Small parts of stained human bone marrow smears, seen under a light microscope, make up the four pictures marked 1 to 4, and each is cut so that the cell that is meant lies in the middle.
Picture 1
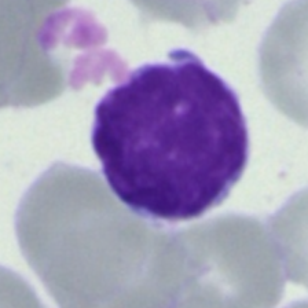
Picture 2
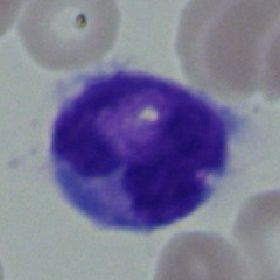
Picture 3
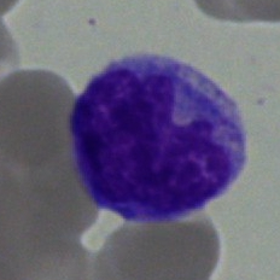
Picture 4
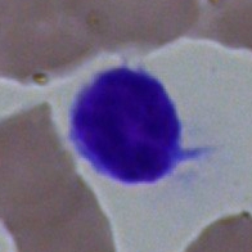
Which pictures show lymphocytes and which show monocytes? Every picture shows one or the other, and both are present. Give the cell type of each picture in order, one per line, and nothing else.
lymphocyte
monocyte
monocyte
lymphocyte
